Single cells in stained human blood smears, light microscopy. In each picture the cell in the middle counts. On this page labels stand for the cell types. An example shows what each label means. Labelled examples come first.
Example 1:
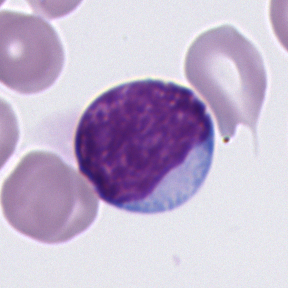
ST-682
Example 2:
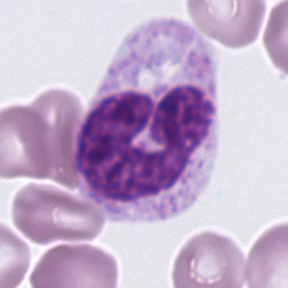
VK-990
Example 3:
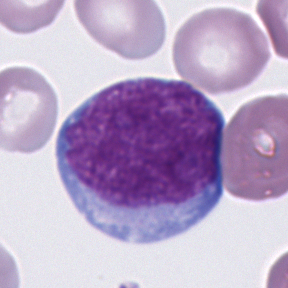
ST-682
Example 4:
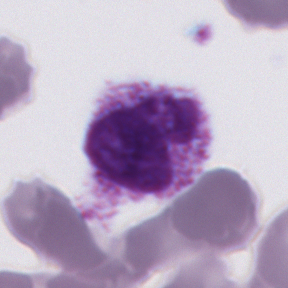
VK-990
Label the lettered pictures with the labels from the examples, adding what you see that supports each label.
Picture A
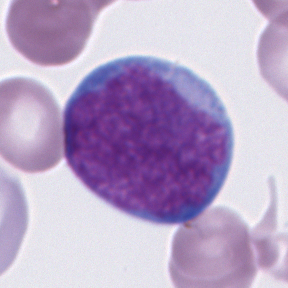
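ST-682: The cytoplasm is deep blue.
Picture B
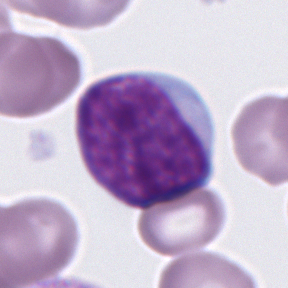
ST-682: The cytoplasm forms a narrow crescent along the upper right side of the cell.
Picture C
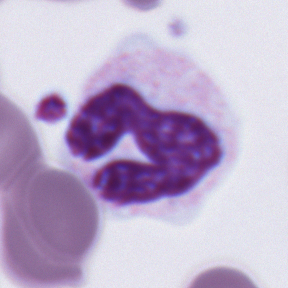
VK-990: The cytoplasm is plentiful and pale pinkish-lilac.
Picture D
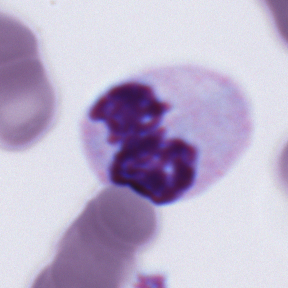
VK-990: The nucleus has two large lobes joined by a narrower part.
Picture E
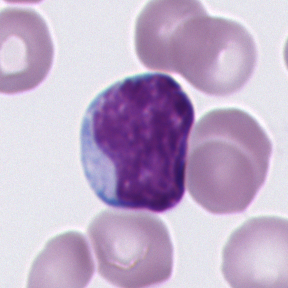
ST-682: The nucleus is a single unlobed mass.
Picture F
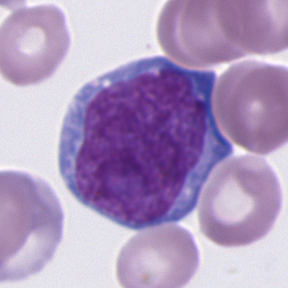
ST-682: The cytoplasm is blue, deepest in tone along the outer edge of the cell.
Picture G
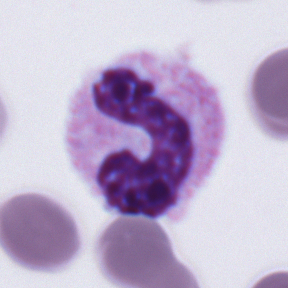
VK-990: The cytoplasm is pale pink.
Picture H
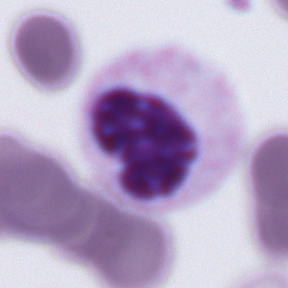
VK-990: The cytoplasm is abundant and very pale pink.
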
